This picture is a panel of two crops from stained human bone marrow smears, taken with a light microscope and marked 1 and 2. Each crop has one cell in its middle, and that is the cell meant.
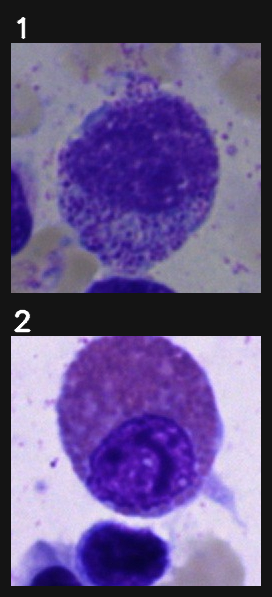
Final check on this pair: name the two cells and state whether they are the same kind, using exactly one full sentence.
No, crop 1 has a myelocyte in the middle, and crop 2 has an eosinophil.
